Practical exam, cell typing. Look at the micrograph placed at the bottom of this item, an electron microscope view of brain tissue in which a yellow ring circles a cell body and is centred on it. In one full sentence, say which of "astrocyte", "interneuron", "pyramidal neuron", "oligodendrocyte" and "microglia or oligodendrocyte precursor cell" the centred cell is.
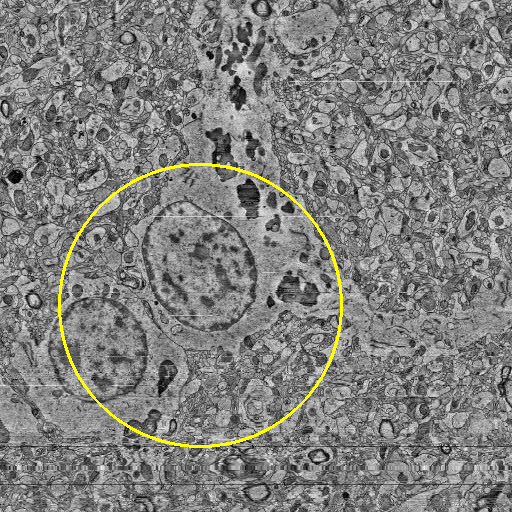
Given the options, an astrocyte fits the cell whose body the yellow ring is centred on.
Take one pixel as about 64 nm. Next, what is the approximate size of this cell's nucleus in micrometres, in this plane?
Approximately 9 micrometres long and 7 micrometres wide, in this plane.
